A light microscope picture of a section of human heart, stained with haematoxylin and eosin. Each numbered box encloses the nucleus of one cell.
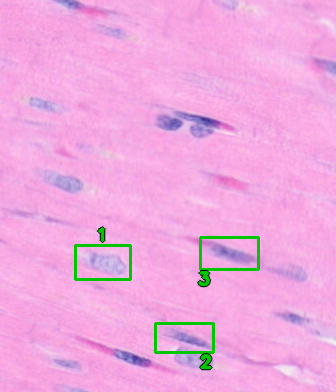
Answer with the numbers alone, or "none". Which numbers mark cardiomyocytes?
1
